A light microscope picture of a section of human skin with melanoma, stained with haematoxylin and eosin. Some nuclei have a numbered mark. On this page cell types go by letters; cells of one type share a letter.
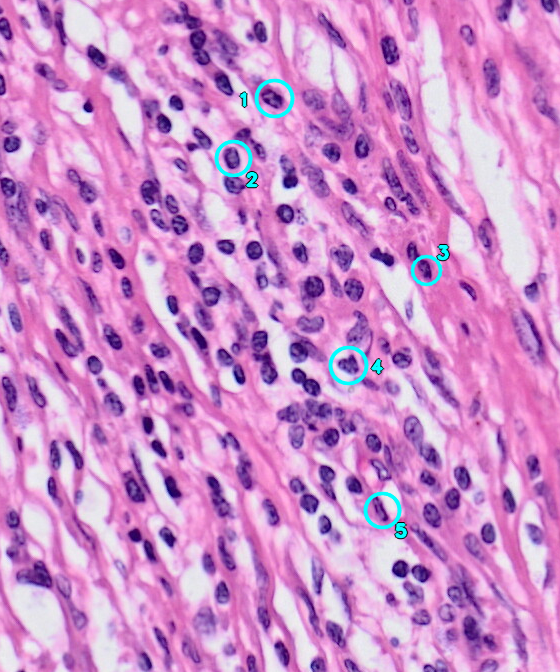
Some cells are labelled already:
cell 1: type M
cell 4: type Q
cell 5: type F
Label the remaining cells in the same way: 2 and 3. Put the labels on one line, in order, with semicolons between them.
type Q; type M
